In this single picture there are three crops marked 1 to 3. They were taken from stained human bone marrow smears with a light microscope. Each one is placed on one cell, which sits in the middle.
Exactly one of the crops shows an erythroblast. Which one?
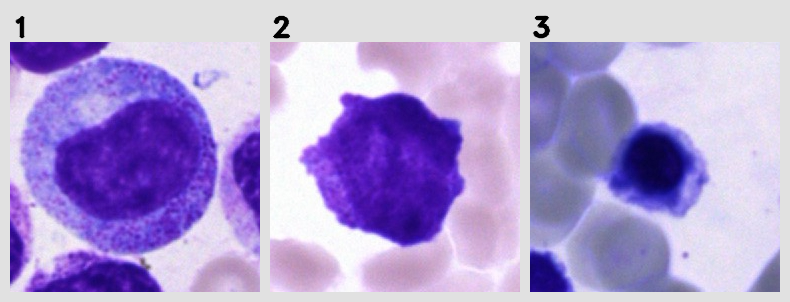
3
